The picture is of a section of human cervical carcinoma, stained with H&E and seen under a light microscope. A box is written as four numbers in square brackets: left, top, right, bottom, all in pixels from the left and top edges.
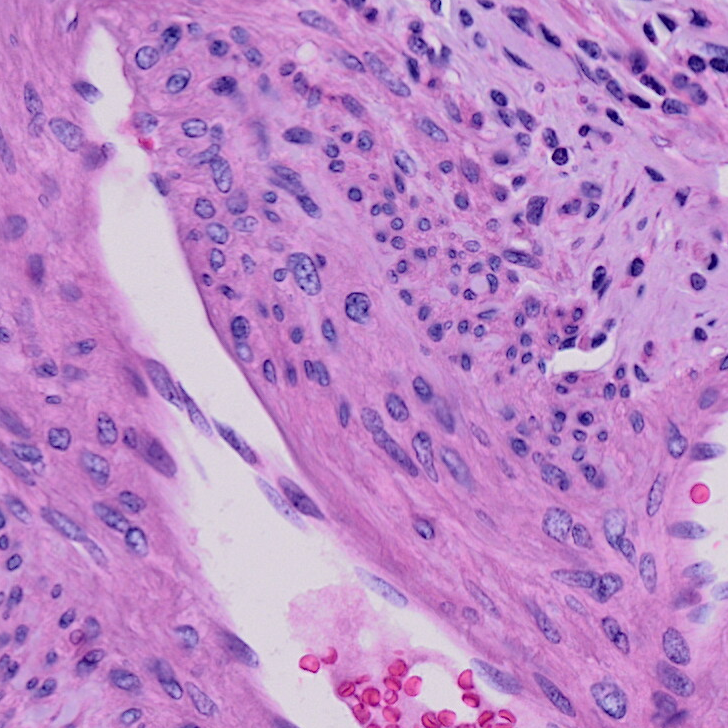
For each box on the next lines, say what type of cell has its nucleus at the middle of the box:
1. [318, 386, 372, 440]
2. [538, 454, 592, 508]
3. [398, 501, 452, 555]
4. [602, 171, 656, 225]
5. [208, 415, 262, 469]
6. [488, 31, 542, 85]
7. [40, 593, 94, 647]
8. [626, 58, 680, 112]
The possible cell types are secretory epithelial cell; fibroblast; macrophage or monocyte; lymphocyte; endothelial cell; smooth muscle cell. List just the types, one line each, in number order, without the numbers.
smooth muscle cell
smooth muscle cell
smooth muscle cell
fibroblast
endothelial cell
fibroblast
smooth muscle cell
lymphocyte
